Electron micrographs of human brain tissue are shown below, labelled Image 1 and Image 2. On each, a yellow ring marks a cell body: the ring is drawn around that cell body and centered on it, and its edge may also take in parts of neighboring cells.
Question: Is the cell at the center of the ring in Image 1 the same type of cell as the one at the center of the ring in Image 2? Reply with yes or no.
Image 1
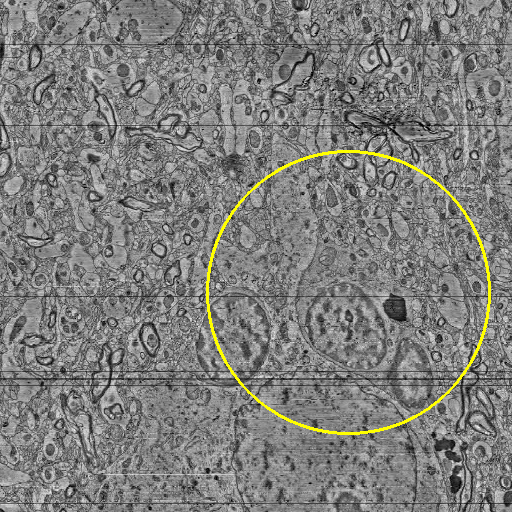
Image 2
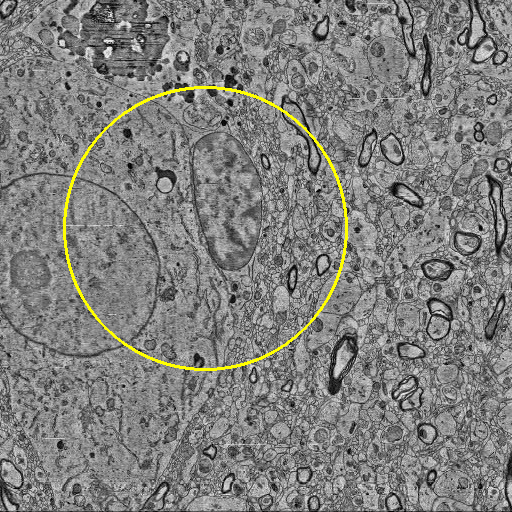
no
